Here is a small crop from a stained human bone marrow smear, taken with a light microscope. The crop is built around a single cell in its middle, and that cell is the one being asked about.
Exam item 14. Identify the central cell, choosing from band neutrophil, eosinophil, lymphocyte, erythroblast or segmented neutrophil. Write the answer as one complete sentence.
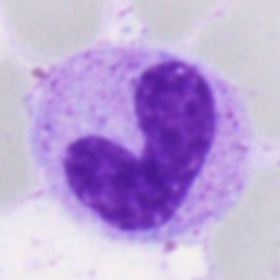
By classification, the middle cell of this crop is a band neutrophil.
